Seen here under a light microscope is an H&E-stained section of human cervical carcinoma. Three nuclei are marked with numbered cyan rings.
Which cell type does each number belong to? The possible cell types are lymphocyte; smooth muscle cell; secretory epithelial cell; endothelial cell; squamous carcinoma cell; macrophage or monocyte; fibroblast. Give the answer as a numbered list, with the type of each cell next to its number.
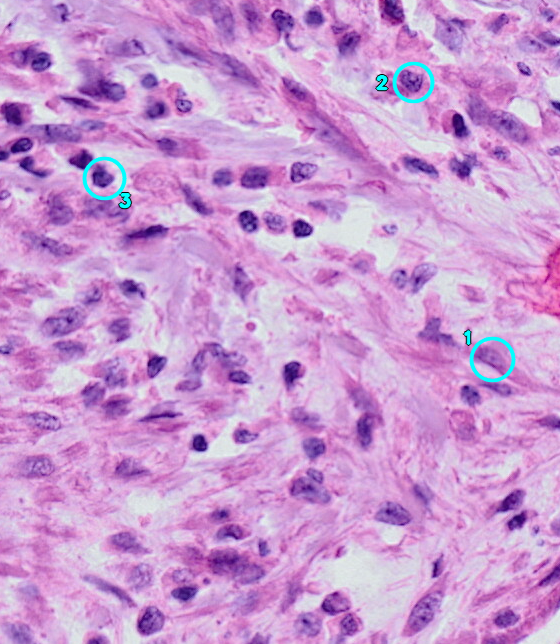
1. fibroblast
2. macrophage or monocyte
3. lymphocyte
